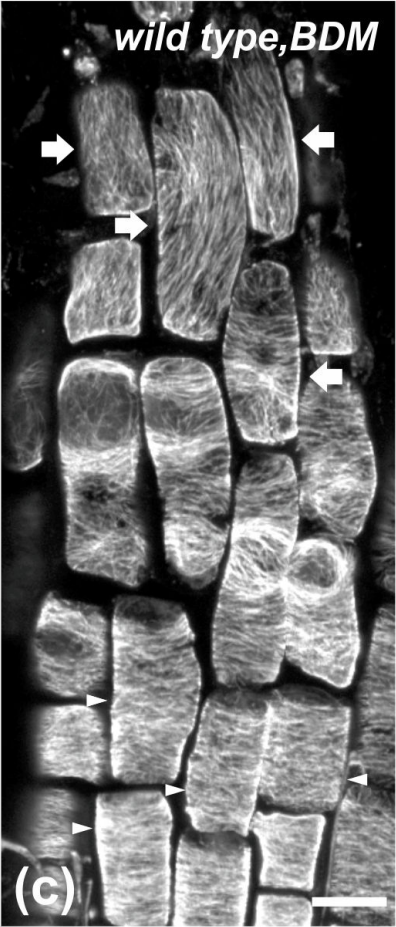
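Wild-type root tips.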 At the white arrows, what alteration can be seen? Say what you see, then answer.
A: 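Their filaments run obliquely to longitudinally rather than across the cell. So: reoriented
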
